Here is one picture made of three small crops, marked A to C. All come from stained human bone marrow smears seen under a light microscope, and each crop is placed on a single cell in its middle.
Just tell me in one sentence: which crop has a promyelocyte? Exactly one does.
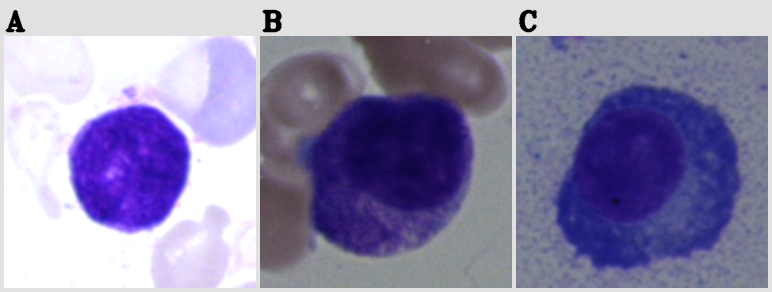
The one crop in the set with a promyelocyte is crop B.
